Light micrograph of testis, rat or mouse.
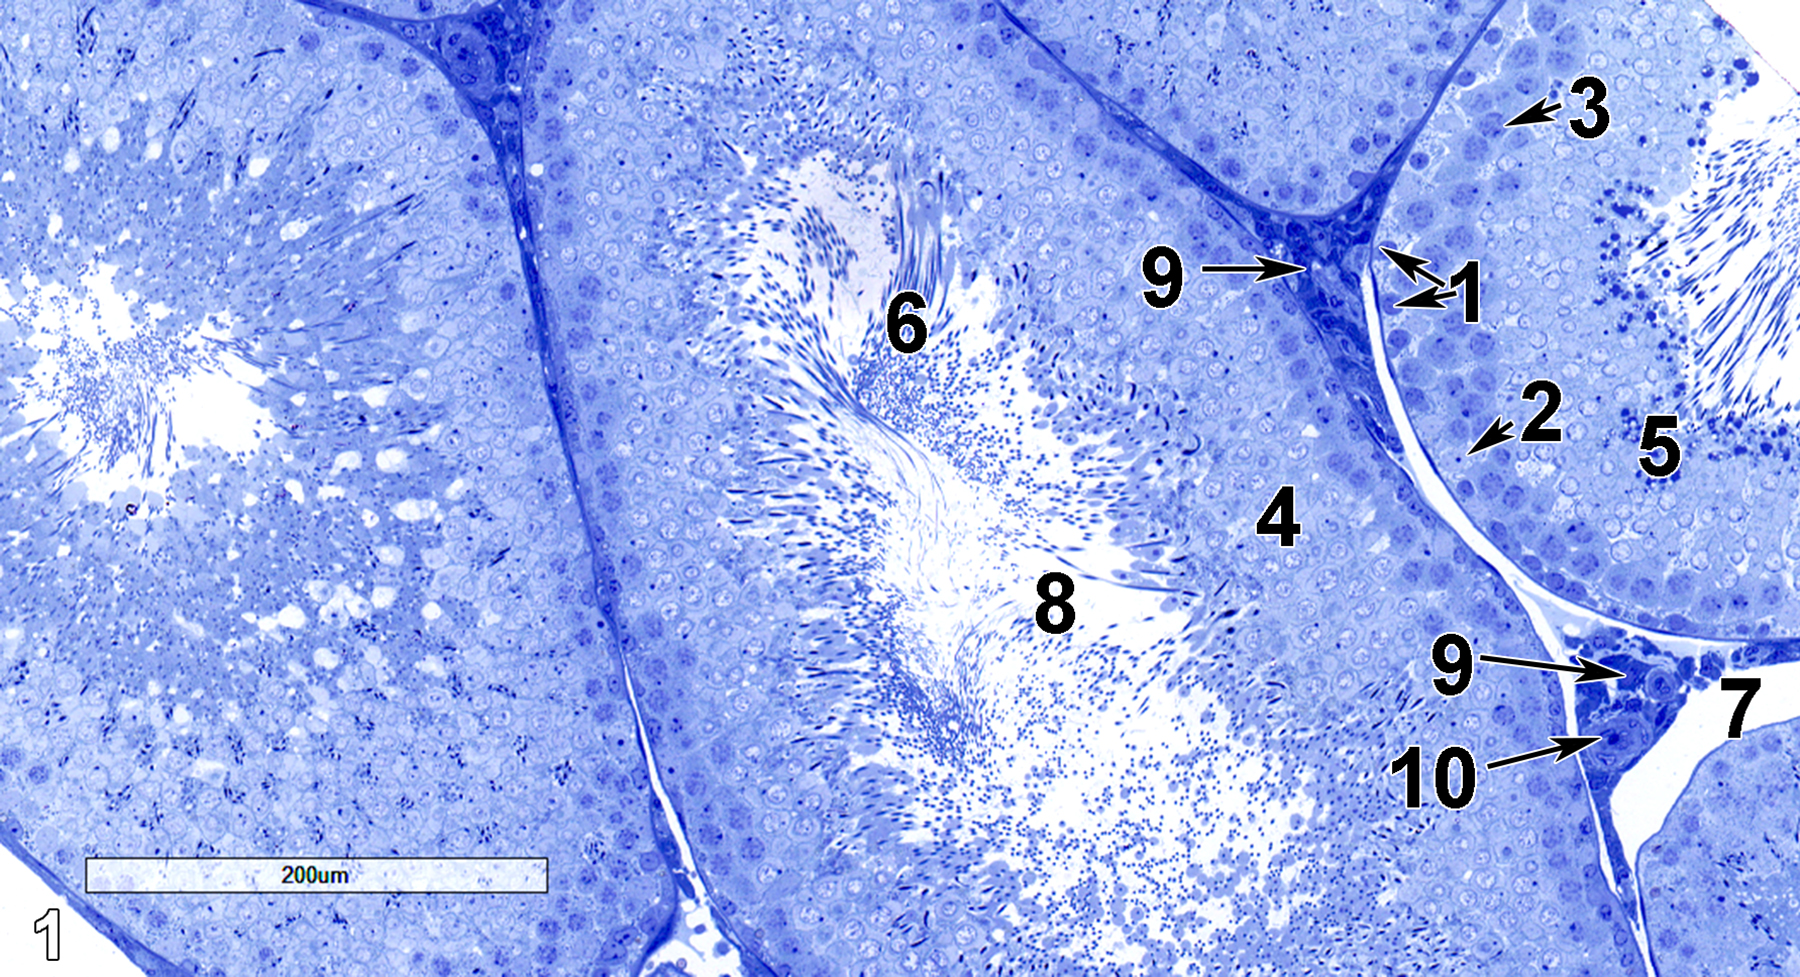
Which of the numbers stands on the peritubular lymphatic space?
The peritubular lymphatic space: 7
